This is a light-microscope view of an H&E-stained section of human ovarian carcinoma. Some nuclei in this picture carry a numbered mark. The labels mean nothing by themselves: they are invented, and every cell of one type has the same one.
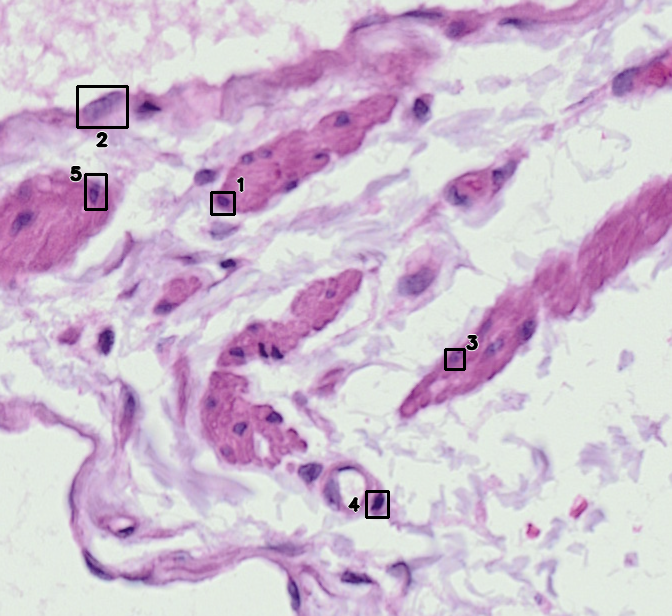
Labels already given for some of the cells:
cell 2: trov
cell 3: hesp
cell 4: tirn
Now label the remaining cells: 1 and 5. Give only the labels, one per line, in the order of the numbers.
hesp
hesp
